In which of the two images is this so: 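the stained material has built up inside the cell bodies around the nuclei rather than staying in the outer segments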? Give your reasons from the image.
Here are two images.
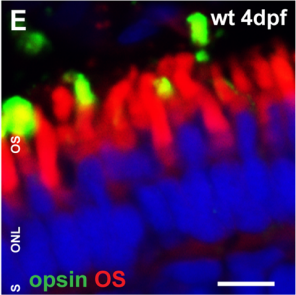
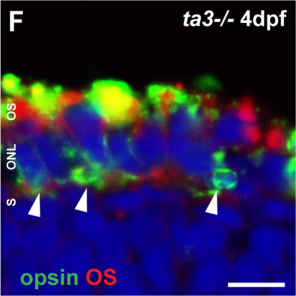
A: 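Second image: green label outlines the cell bodies and surrounds nuclei down to the synaptic side, marked by arrowheads. First image: green label sits only at the tips of the red outer segments, the cell bodies below are free of it.
Answer: the second image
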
